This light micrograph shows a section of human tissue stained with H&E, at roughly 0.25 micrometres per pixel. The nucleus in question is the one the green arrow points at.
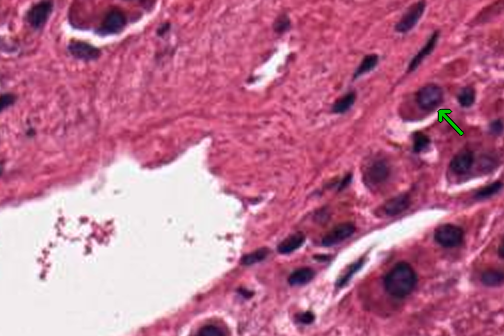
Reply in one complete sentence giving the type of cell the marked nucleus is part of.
The marked nucleus is that of an adrenal cortical cell in this section.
